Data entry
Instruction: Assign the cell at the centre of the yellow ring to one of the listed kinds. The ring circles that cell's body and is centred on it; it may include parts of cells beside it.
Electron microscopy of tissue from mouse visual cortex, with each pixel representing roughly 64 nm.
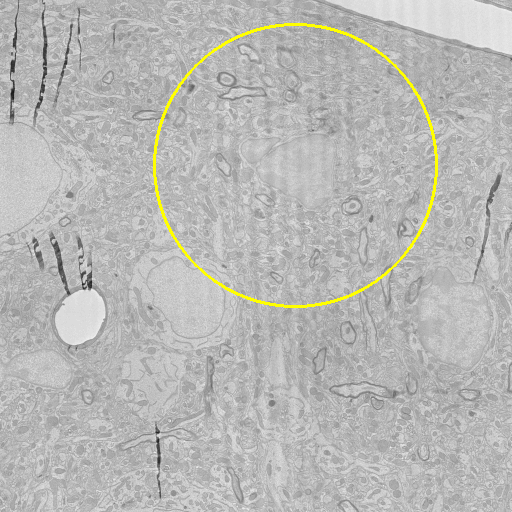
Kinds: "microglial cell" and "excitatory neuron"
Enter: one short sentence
The centre of the ring falls on a microglial cell.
